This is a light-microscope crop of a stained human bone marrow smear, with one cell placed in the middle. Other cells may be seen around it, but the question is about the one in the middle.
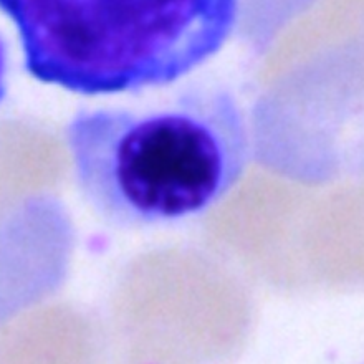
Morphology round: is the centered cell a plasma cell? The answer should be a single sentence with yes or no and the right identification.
No, the cell in the centre is an erythroblast instead of a plasma cell.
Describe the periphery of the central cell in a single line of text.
You can see a smooth boundary, with no projections sticking out.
